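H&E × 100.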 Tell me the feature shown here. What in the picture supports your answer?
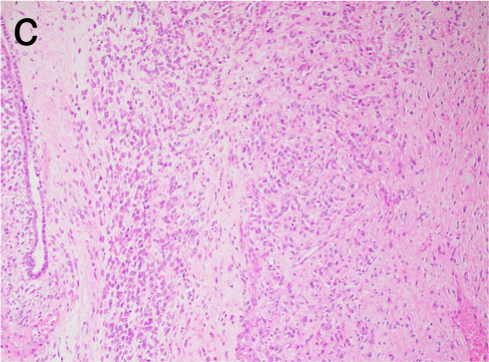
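Focal dilated gland ductal structure. At the left edge a duct-like space is lined by a single layer of epithelial cells.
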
